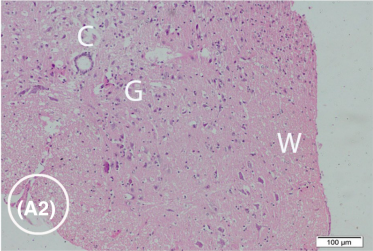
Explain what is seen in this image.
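Spinal cord near the central canal, a small round lumen lined by a ring of cells at upper left. The surrounding gray matter holds scattered large nerve cell bodies with pink to purple cytoplasm among numerous small dark glial nuclei in a pink fibrillar neuropil; small vessels are seen. Toward the right edge the tissue becomes the paler, finely vacuolated white matter with fewer nuclei, ending at the smooth outer surface of the cord.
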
